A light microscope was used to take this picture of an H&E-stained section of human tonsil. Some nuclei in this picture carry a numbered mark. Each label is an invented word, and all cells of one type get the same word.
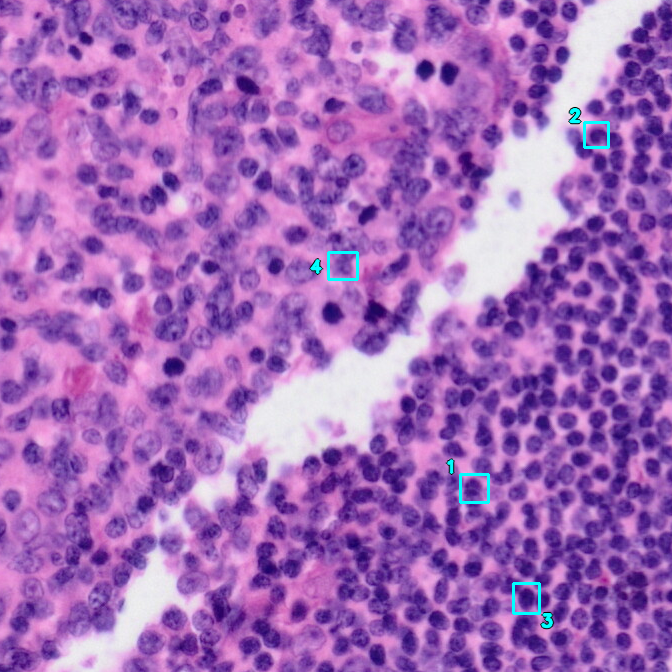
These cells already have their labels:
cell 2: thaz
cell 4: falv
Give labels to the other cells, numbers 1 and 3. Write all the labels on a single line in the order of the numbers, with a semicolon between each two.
thaz; thaz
